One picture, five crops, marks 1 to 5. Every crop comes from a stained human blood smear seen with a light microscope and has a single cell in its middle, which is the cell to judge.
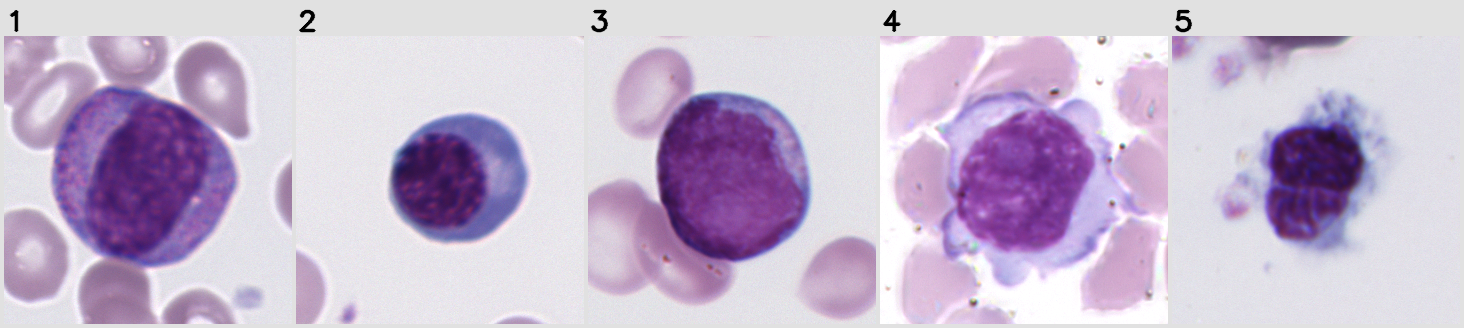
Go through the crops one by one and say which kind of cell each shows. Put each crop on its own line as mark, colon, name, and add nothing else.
1: atypical promyelocyte
2: normoblast
3: myeloblast
4: plasma cell
5: hairy cell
